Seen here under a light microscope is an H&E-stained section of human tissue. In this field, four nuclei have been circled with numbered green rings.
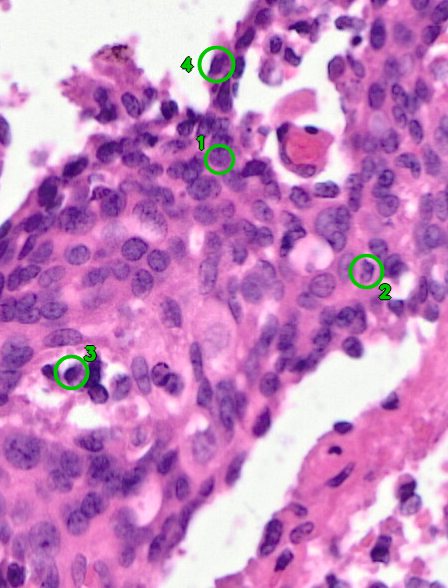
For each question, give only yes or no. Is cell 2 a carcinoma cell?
no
